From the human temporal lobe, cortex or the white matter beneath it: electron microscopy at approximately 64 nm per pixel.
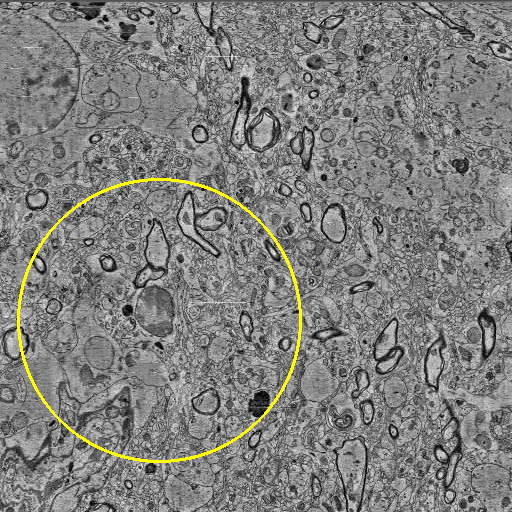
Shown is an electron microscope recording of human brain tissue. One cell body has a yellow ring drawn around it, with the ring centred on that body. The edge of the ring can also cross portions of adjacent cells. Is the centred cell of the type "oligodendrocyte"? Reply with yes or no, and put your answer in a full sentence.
No, in the picture, the cell on which the ring is centred has a different type.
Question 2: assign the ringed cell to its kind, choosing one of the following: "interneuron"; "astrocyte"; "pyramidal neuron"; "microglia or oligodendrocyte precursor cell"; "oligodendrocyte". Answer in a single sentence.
This picture has a microglial cell or oligodendrocyte precursor cell at the centre of its ring.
